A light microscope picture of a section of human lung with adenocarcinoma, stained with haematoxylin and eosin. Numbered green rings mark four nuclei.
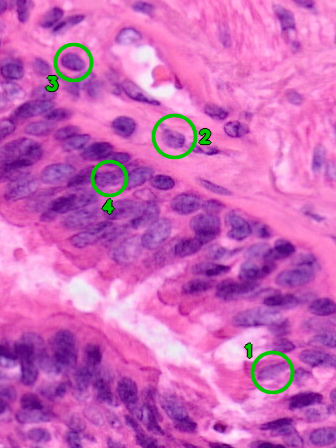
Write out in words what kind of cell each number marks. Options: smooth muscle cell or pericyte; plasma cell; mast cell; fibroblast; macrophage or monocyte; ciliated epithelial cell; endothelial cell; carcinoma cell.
Cell 1 is a ciliated epithelial cell, cell 2 is a fibroblast, cell 3 is a mast cell and cell 4 is a ciliated epithelial cell.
